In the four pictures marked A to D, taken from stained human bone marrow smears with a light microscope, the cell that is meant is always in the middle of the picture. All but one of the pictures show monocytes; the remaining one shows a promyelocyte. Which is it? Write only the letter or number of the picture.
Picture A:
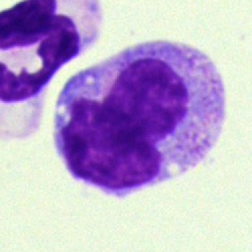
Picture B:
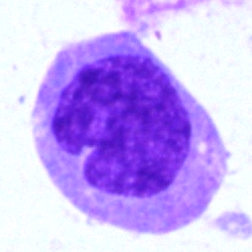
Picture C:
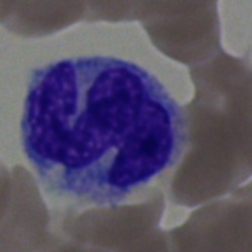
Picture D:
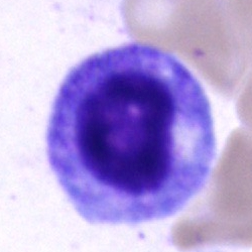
D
